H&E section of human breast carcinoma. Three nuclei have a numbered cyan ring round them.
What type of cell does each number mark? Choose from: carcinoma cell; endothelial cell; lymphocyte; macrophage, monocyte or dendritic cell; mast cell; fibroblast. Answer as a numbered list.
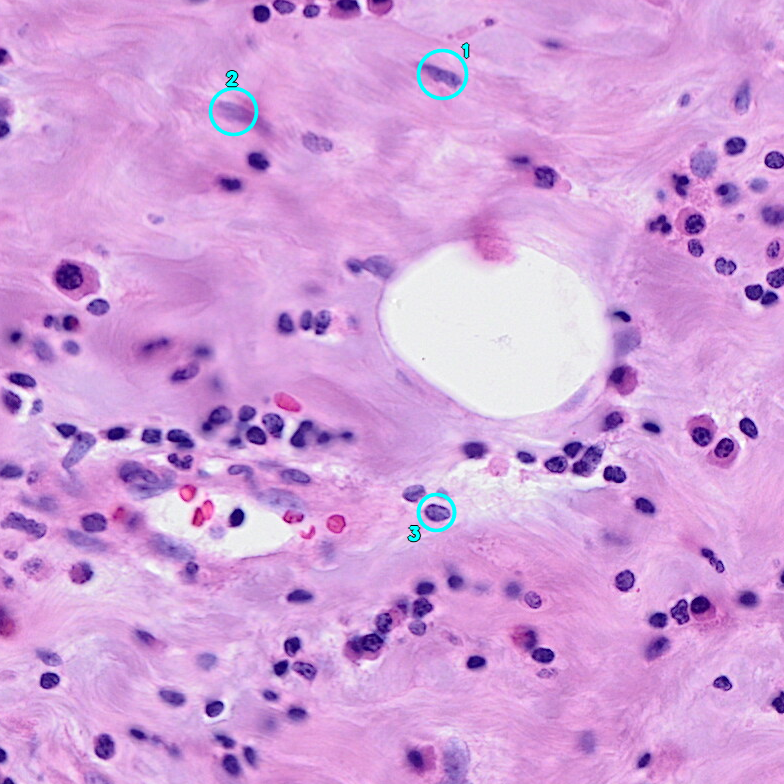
1. fibroblast
2. fibroblast
3. lymphocyte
